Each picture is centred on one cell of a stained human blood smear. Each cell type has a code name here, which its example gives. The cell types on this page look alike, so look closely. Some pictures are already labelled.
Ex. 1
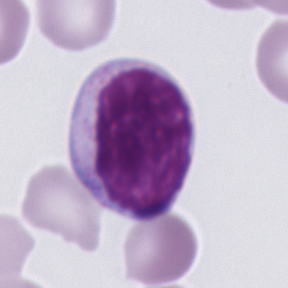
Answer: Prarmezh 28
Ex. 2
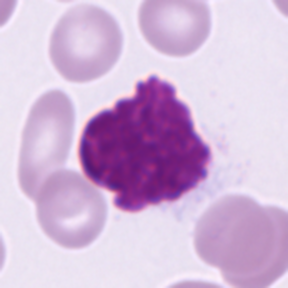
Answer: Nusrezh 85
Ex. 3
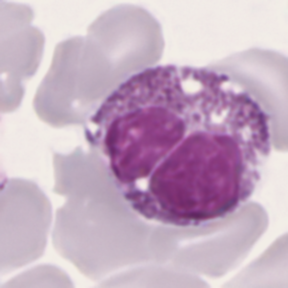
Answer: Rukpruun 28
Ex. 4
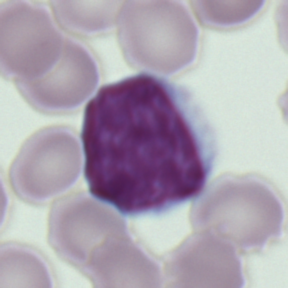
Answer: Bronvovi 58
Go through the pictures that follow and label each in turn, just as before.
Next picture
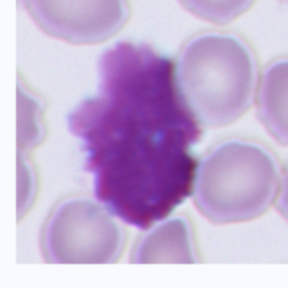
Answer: Nusrezh 85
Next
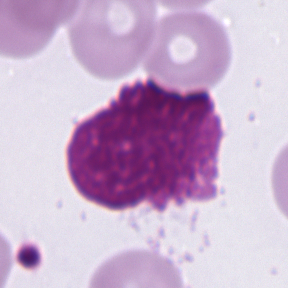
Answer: Nusrezh 85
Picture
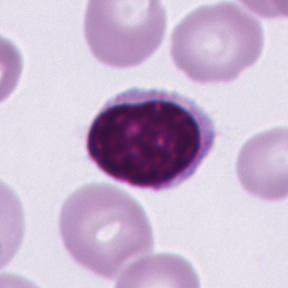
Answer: Prarmezh 28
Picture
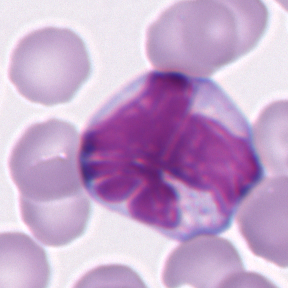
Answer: Prarmezh 28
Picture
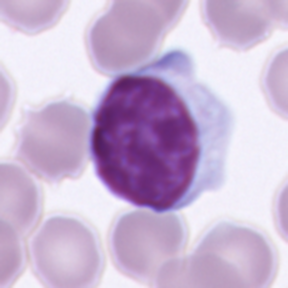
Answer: Bronvovi 58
